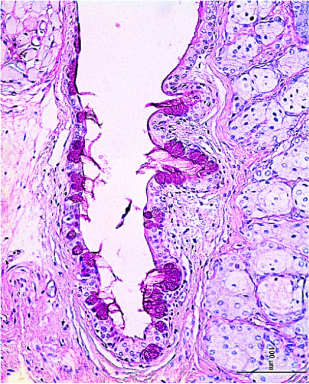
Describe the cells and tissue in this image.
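This is the fold of the conjunctiva at the fornix, where the lining epithelium turns back on itself around a clear lumen. Between the clusters the epithelium is thin, with small bluish nuclei. Beneath it lies pink, loosely fibrous connective tissue, and further out are lobules of large pale cells with small nuclei and light, foamy-looking cytoplasm.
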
